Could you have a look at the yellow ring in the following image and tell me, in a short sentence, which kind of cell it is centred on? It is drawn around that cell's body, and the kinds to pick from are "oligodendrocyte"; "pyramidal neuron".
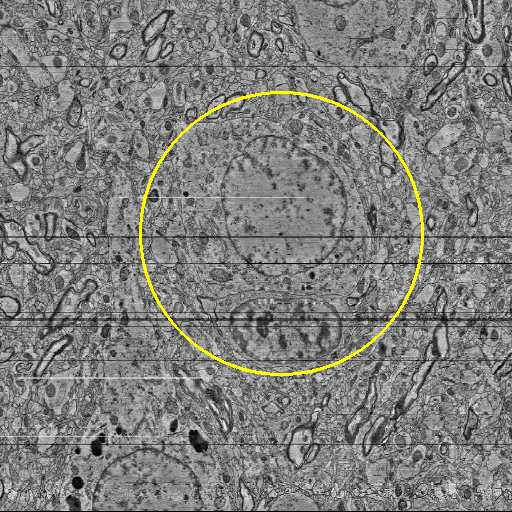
The ring is centred on the body of a pyramidal neuron.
